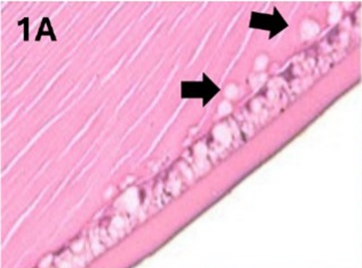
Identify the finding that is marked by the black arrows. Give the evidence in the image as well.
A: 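Many clear round empty spaces of varying size lie in a band beneath the smooth pink outer layer. The black arrows point at these clear round spaces.
Conclusion: vacuolization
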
